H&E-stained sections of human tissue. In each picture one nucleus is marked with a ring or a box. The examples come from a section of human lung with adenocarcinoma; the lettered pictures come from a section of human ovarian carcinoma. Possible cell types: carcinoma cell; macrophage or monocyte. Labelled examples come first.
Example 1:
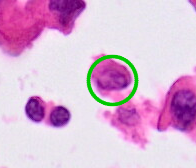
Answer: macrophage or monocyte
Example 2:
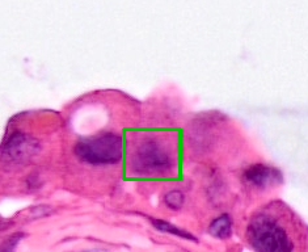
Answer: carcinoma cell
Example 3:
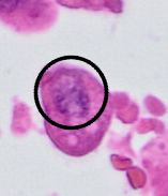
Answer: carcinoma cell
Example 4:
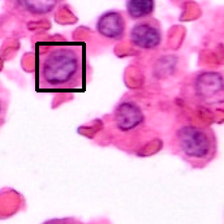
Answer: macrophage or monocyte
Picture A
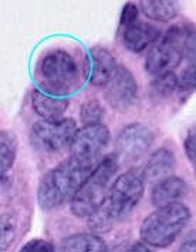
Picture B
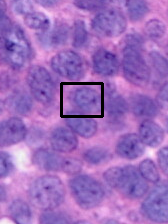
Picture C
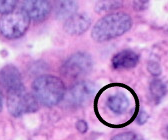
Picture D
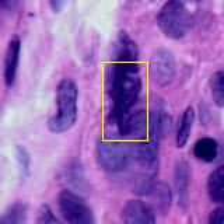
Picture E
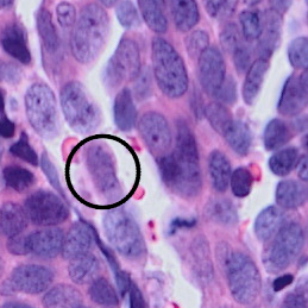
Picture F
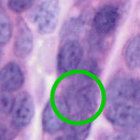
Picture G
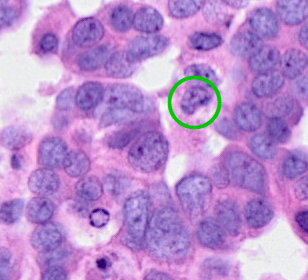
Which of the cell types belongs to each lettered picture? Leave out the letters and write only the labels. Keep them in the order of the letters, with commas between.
carcinoma cell, carcinoma cell, macrophage or monocyte, carcinoma cell, carcinoma cell, carcinoma cell, macrophage or monocyte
